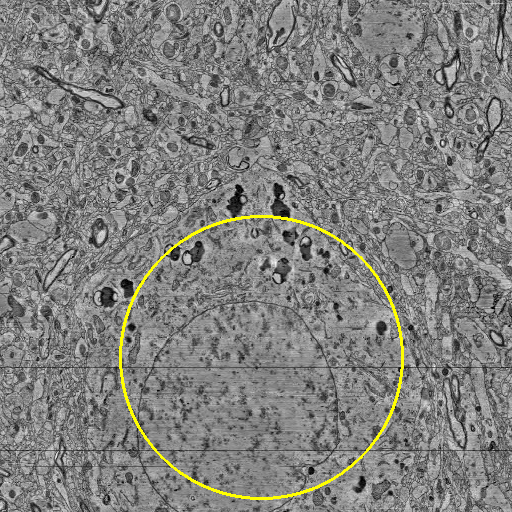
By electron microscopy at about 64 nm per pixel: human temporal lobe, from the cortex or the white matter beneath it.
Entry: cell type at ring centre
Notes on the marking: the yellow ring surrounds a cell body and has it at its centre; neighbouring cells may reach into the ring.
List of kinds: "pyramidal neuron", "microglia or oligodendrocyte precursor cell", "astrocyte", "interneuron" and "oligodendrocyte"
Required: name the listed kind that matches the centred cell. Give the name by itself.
pyramidal neuron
